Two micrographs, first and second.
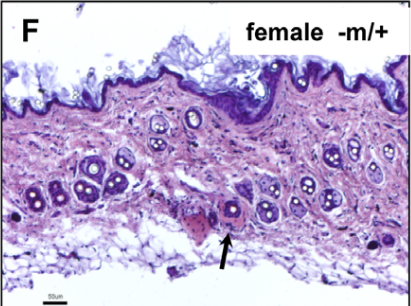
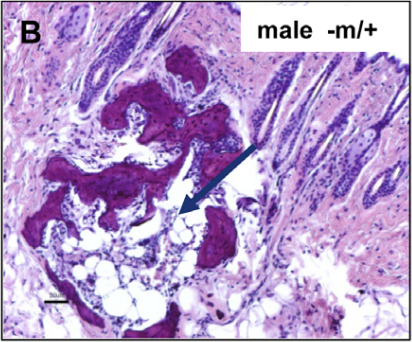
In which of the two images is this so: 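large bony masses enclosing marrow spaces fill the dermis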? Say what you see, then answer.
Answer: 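First image: only a small pink deposit lies next to hair follicles, with no bone mass. Second image: big dark pink-purple bony masses surround spaces with fat vacuoles and cells.
Conclusion: the second image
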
